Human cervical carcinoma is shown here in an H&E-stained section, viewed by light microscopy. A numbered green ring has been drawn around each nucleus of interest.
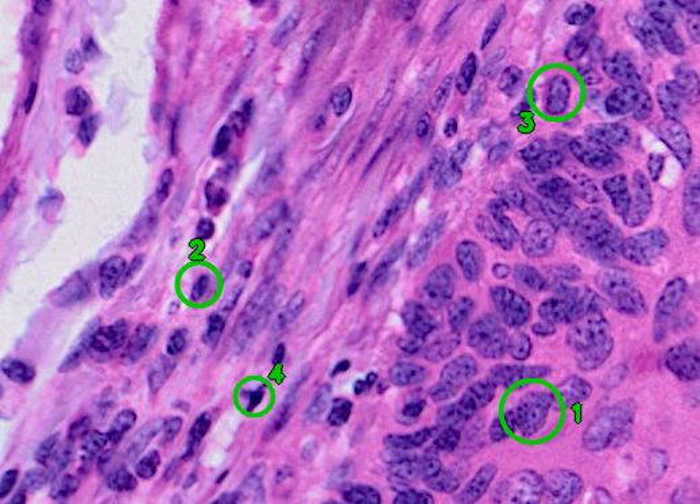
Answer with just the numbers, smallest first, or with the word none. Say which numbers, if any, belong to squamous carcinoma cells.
1, 3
